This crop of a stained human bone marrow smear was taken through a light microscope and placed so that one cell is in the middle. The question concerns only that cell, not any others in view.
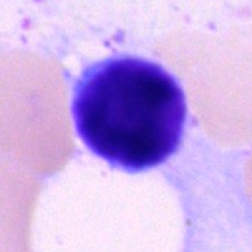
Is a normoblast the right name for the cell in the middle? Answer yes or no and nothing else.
no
